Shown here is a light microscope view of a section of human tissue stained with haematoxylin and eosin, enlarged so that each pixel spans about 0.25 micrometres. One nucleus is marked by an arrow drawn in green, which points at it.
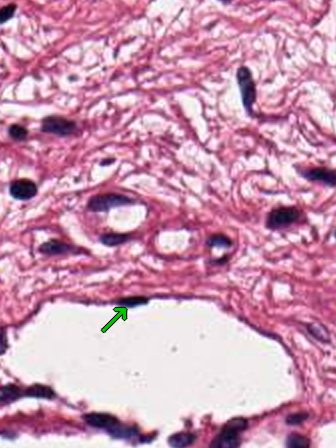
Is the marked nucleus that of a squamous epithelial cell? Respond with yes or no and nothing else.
no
